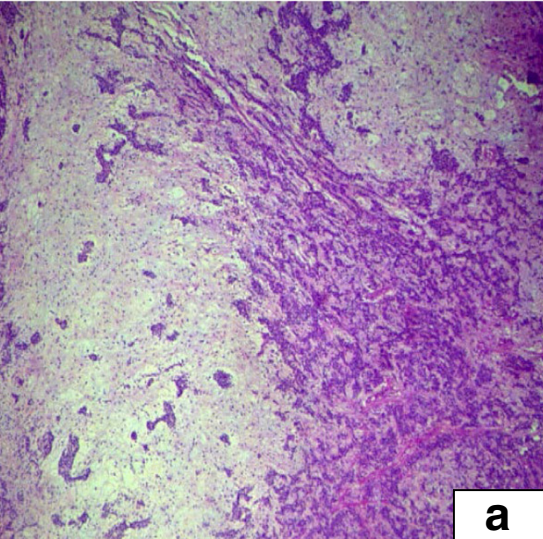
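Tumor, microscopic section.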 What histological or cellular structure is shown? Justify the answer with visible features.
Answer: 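Dark purple tumor cells form small clusters and branching strands. The clusters and strands lie in a pale, loose, bluish-grey background. That points to this answer: nests, cords and trabeculae.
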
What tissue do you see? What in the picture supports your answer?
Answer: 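Large areas of pale, loose, lightly stained matrix with sparse cells. Cellular strands are scattered within this pale matrix.
Conclusion: myxoid background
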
